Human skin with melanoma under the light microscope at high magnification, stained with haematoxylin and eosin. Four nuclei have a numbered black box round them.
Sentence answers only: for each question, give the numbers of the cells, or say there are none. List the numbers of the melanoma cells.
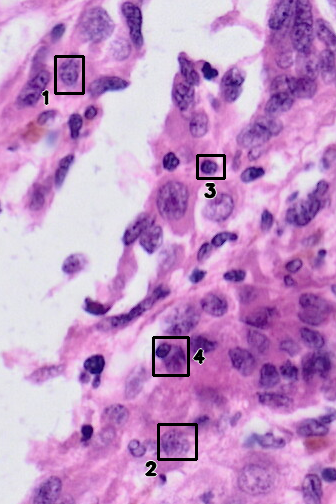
The cells to which the numbers 1, 2 and 4 refer are melanoma cells.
